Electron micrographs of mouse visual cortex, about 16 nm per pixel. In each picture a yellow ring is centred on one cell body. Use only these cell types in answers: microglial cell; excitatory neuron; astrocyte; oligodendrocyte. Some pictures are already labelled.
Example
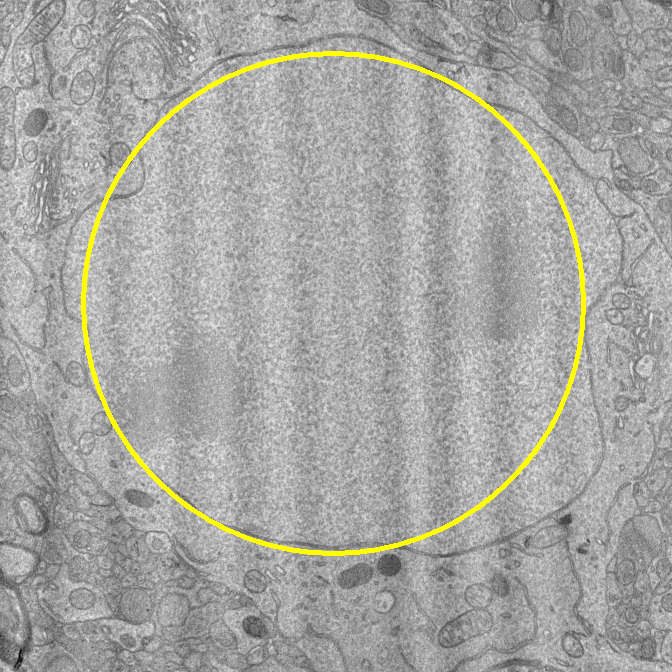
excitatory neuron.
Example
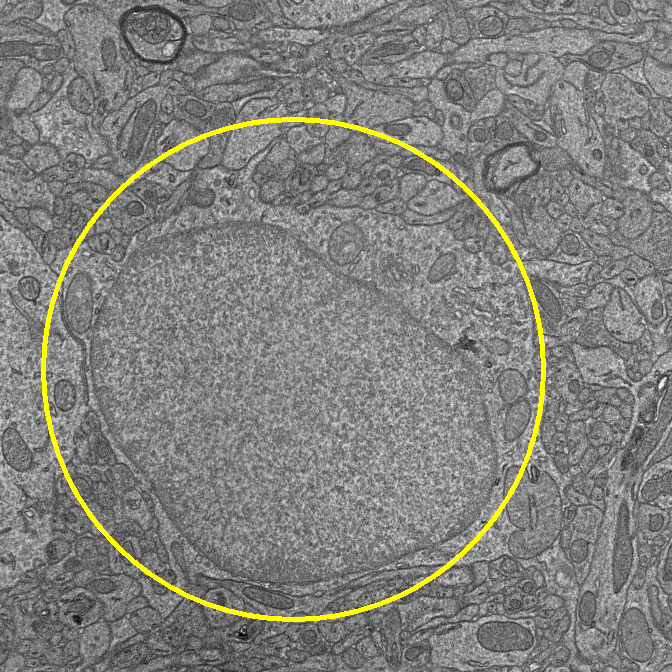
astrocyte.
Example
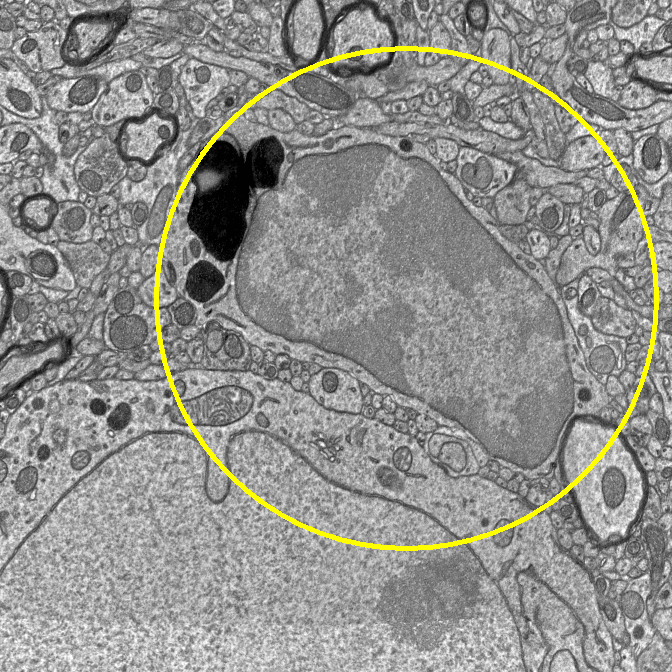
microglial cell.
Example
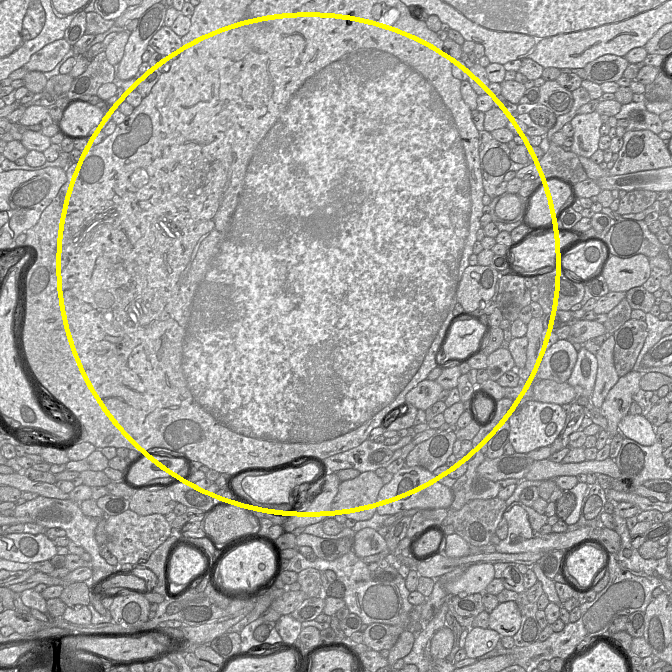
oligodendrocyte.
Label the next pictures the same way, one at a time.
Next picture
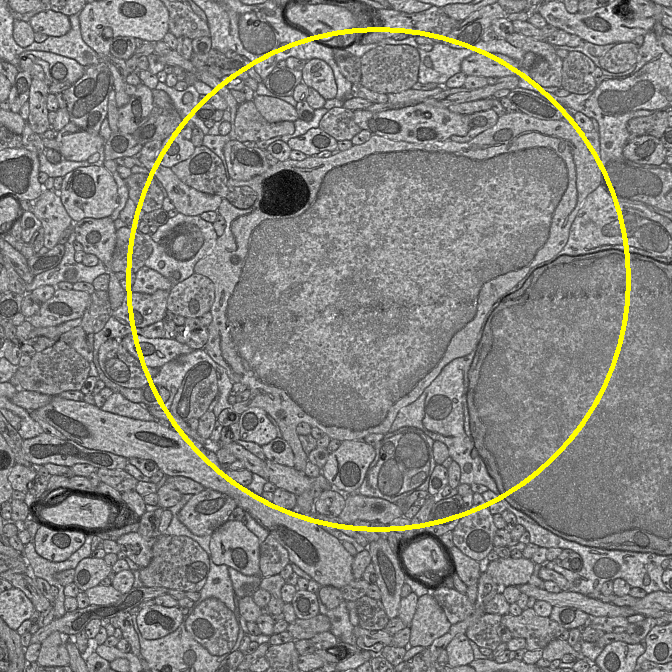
microglial cell.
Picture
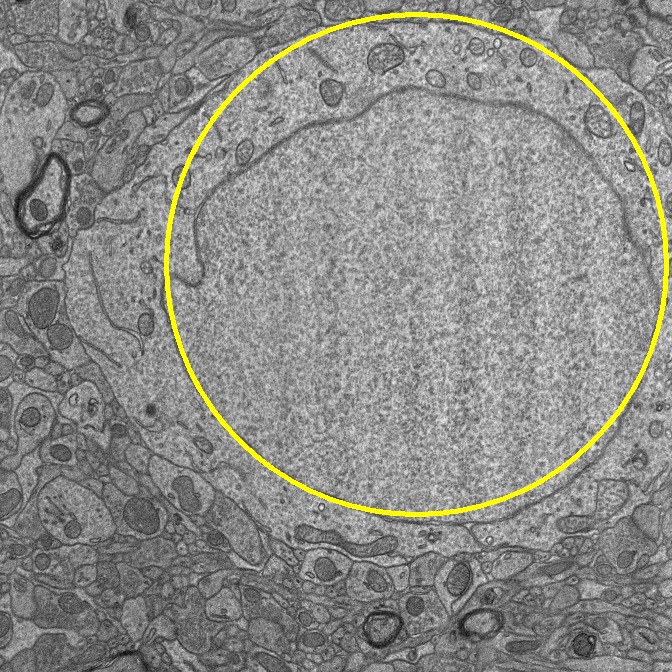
excitatory neuron.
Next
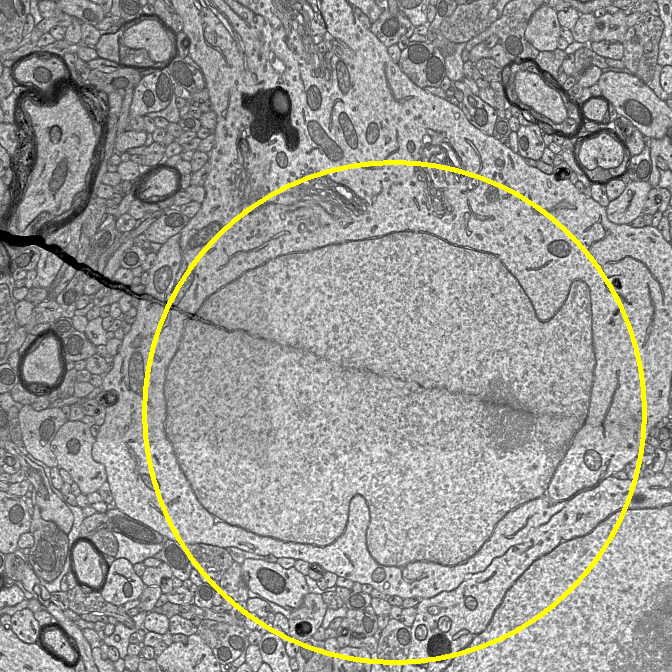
excitatory neuron.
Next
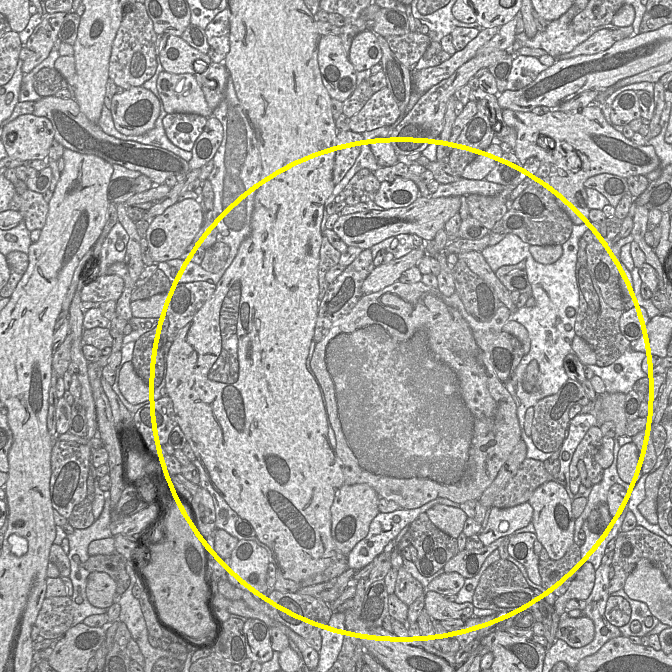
microglial cell.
